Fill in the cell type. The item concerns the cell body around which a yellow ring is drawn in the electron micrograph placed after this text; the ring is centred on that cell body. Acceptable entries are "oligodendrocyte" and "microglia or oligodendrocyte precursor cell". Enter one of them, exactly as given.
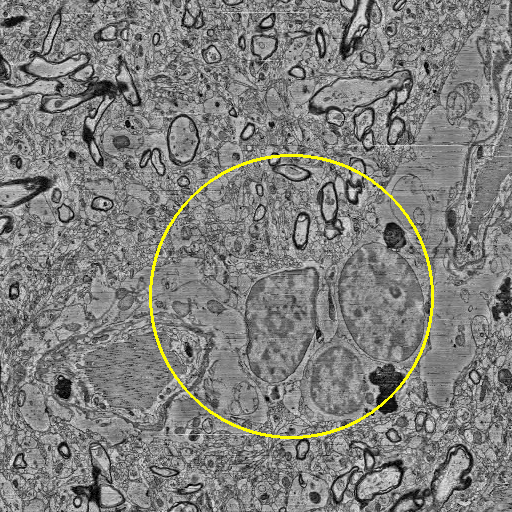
microglia or oligodendrocyte precursor cell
